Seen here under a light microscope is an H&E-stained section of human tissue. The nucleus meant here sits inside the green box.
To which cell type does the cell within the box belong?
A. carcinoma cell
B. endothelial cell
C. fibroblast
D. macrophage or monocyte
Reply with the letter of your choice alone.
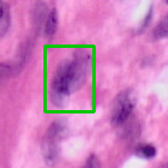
C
